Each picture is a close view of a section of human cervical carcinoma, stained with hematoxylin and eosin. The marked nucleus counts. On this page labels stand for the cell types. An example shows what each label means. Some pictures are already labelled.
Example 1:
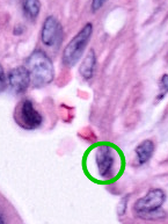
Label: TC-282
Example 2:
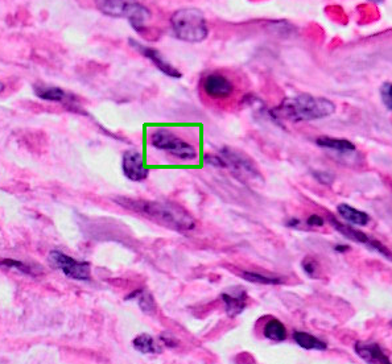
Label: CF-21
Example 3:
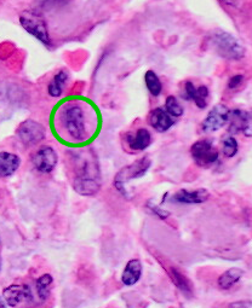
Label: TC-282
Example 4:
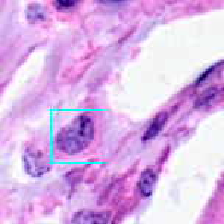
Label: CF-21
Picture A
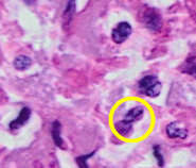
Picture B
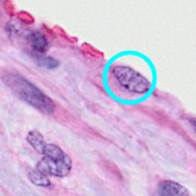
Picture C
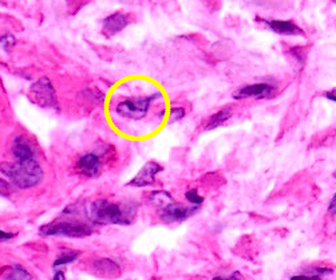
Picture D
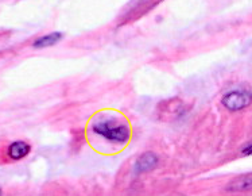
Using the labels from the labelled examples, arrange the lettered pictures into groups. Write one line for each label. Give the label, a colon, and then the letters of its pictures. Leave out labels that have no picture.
TC-282: B
CF-21: A, C, D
